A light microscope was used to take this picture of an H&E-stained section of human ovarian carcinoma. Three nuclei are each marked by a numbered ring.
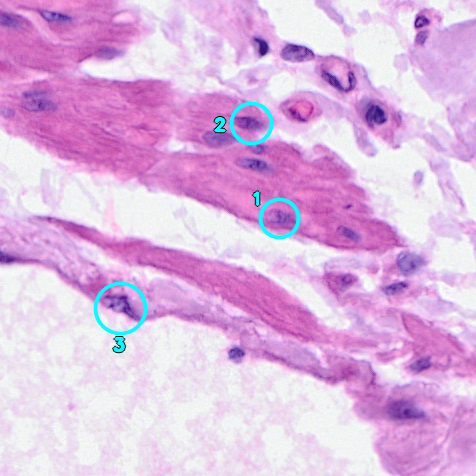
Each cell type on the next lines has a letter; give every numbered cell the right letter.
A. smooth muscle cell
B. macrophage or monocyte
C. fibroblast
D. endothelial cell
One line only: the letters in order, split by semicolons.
A; A; D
